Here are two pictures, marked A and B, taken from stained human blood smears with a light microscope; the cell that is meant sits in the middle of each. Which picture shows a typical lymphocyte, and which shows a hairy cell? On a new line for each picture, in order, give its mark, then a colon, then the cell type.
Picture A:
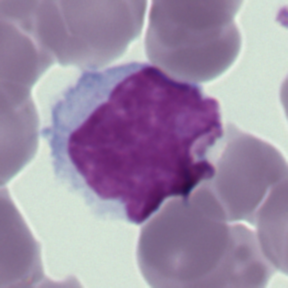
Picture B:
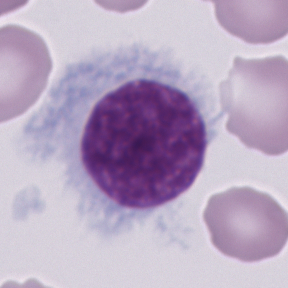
A: typical lymphocyte
B: hairy cell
